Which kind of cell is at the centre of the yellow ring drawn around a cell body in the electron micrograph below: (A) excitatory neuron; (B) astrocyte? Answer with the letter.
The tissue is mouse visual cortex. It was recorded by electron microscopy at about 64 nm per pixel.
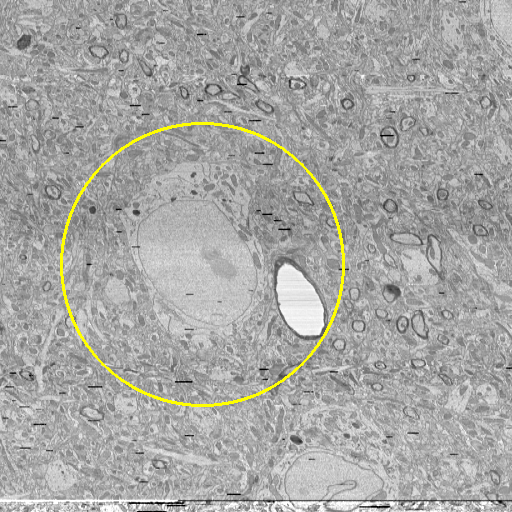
A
